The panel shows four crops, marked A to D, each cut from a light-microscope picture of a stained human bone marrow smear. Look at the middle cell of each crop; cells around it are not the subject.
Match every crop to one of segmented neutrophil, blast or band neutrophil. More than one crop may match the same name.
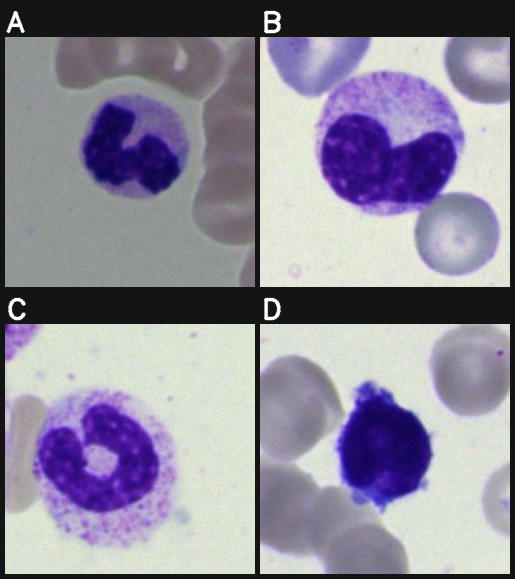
A: segmented neutrophil
B: band neutrophil
C: band neutrophil
D: blast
